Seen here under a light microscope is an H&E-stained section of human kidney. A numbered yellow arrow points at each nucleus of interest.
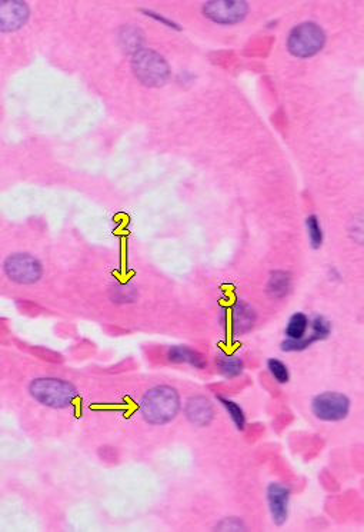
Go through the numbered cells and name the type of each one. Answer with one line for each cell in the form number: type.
1: proximal tubule cell
2: proximal tubule cell
3: endothelial cell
